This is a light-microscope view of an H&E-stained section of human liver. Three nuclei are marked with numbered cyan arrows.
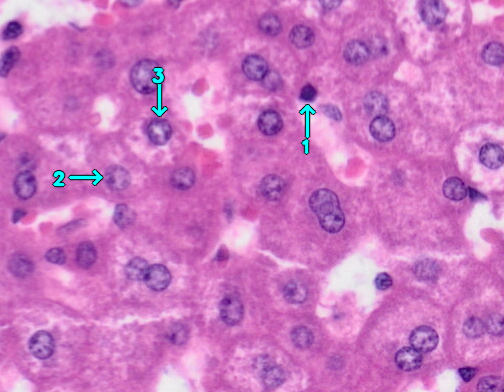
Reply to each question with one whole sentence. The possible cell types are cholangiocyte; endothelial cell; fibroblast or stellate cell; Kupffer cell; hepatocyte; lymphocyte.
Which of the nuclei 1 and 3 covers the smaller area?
Nucleus 1 is the smaller one; nucleus 3 covers about 2 times its area.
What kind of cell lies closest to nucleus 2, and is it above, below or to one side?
The nearest one is an endothelial cell, found below nucleus 2.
